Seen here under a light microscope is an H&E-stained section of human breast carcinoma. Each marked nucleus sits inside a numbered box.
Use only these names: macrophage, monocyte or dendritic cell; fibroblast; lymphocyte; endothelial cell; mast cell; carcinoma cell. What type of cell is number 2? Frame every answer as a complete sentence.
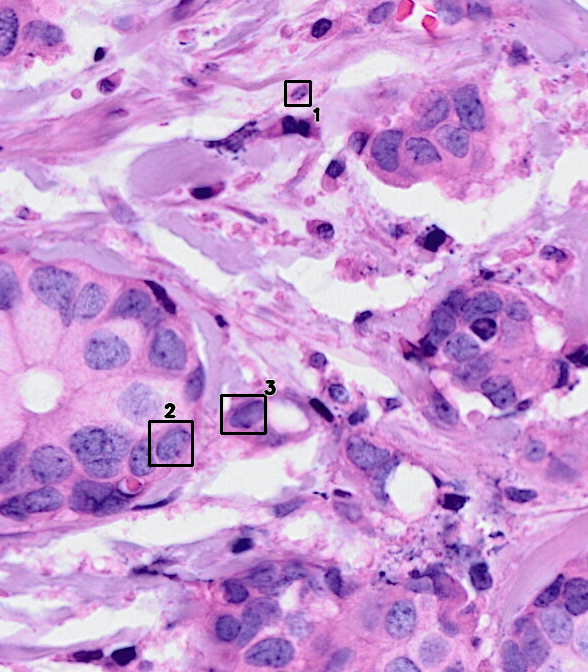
The cell assigned the number 2 is a carcinoma cell.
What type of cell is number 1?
Numbered cell 1 is a mast cell in this tissue section.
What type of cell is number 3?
The marked cell with the number 3 is recognised as a carcinoma cell.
